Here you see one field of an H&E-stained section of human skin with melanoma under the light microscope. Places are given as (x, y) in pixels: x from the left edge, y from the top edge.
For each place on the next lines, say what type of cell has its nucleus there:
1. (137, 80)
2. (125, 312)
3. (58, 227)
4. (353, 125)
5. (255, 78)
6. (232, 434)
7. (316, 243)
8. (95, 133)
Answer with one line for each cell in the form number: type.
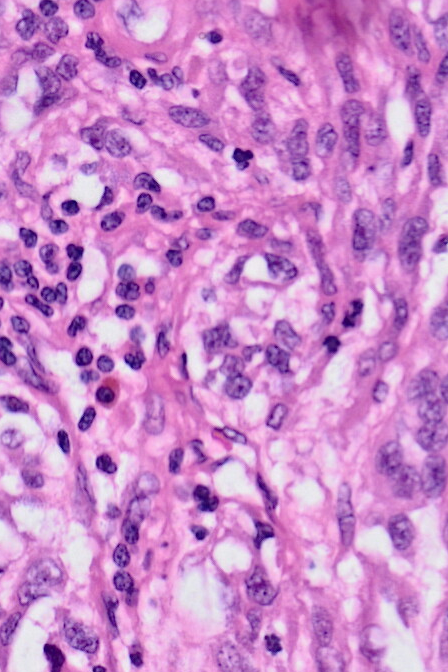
1: lymphocyte
2: lymphocyte
3: lymphocyte
4: melanoma cell
5: melanoma cell
6: endothelial cell
7: melanoma cell
8: melanoma cell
